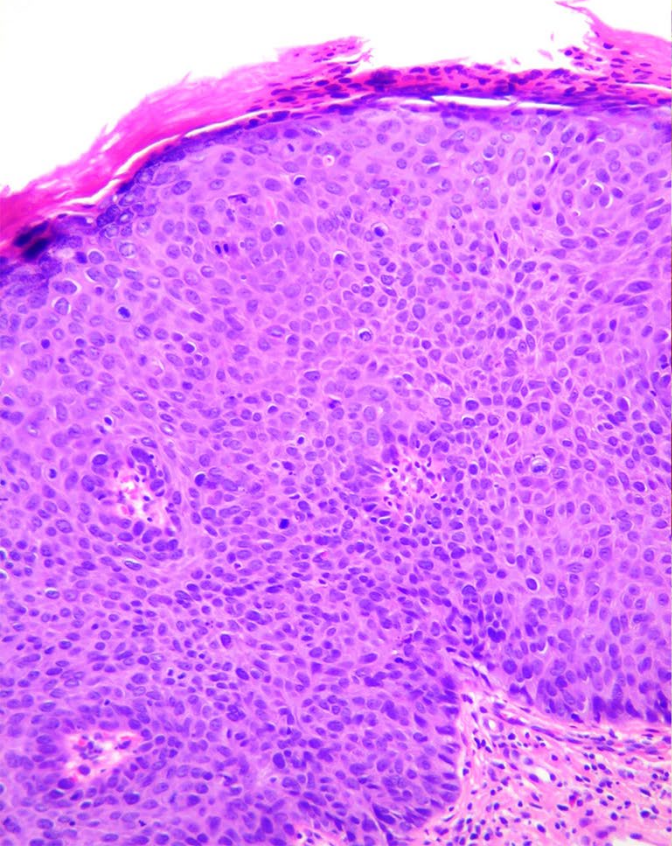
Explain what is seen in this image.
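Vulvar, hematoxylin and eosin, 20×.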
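The normal upward maturation is lost, with only a thin layer of flattened cells just beneath a pink keratin layer at the surface. In the lower part, small fibrovascular stromal cores with capillaries are seen among the epithelial cells. These features fit a high-grade intraepithelial neoplasia of basaloid type made up of abnormal parabasal cells.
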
